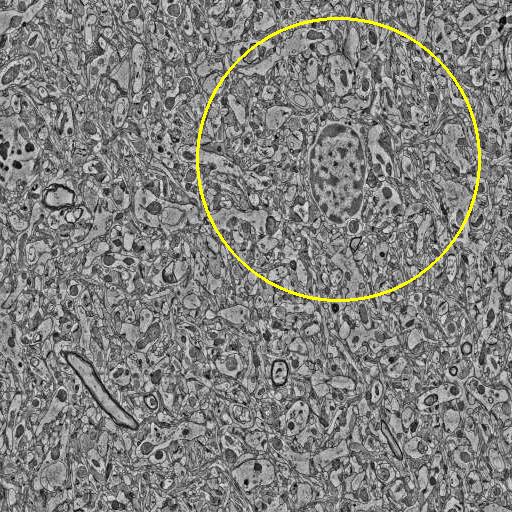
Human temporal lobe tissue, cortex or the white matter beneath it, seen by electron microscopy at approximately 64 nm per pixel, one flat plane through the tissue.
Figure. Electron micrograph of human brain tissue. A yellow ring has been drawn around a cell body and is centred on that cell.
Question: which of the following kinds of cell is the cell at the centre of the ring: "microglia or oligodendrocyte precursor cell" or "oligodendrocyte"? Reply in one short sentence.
The cell at the centre of the ring is a microglial cell or oligodendrocyte precursor cell.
